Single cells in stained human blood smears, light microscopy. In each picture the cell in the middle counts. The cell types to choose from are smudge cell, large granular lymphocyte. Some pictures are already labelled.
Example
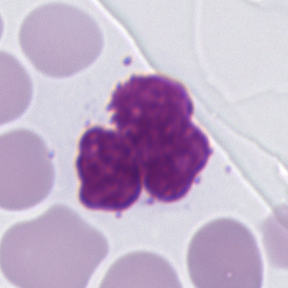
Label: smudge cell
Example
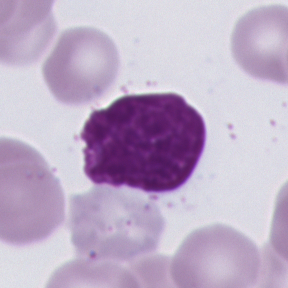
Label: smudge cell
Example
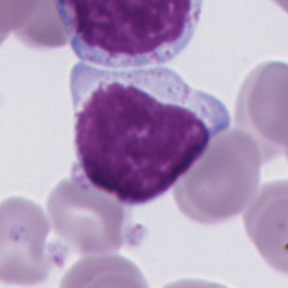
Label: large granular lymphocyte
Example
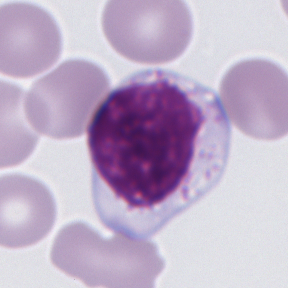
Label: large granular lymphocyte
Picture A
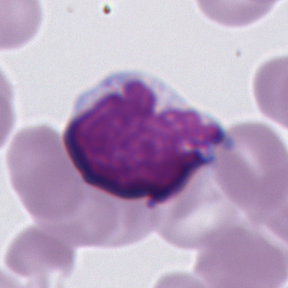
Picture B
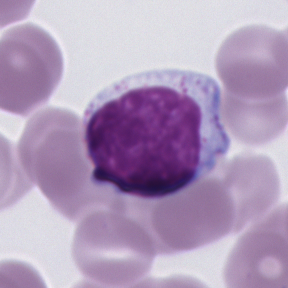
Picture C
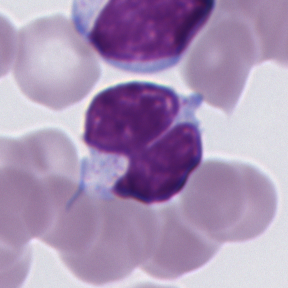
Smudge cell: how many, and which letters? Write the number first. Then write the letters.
0, none of them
